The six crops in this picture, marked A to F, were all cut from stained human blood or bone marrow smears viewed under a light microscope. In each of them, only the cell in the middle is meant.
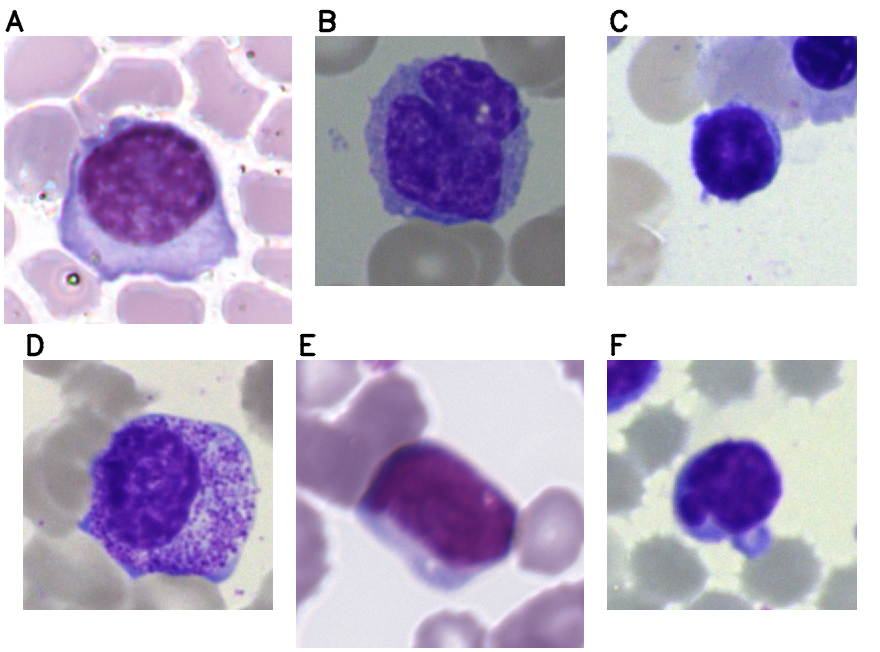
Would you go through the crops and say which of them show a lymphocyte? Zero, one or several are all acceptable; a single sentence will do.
The central cells are lymphocytes in crops C and F.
